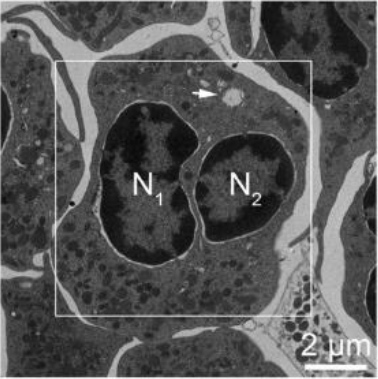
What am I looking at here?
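This is a white blood cell of the neutrophil kind seen by transmission electron microscopy. The nucleus is divided into two large lobes lying side by side in the middle of the cell; each lobe has a thick rim of dark condensed chromatin along its envelope with paler chromatin inside. The surrounding cytoplasm is crowded with many small, round, dark granules of fairly even size, scattered densely throughout. The cell outline is rounded, and pale spaces separate it from neighbouring cells. Only a very small pale vesicle is seen near the top of the cell; large empty vacuoles are absent.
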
